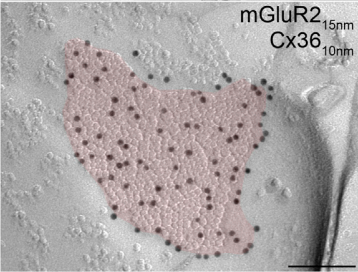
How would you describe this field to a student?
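A fractured membrane face shows a large irregular patch shaded red, densely packed with small uniform particles. Around it the membrane is smoother, with only scattered small particle clusters. Many small dark round dots are spread over the packed patch and along its edges. The patch reaches towards a curved fold of membrane at one side.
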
